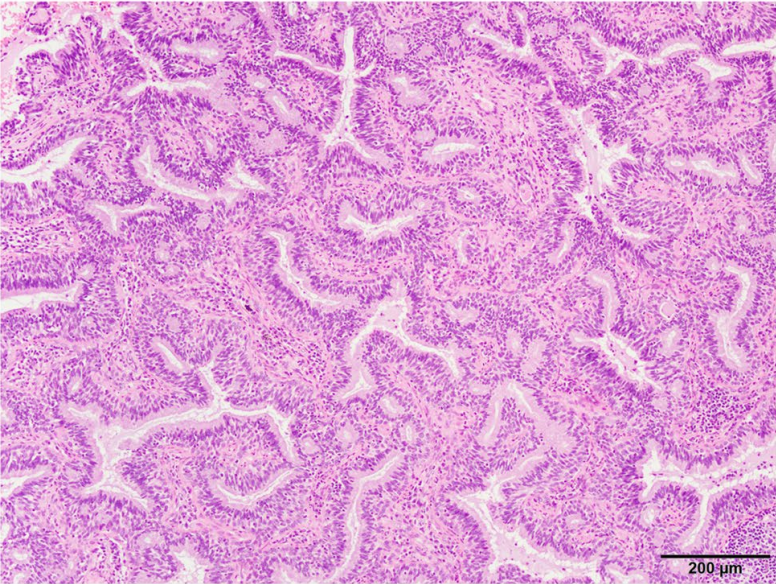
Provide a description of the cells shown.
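A tumor built of tall columnar cells lining closely packed, branching tubular and papillary glandular spaces with narrow, slit-like lumens. The nuclei are elongated and dark purple, crowded and palisaded along the long axis of the cells, and the cytoplasm is pale pink. Thin cores of pink stroma lie between the glands, and a small cluster of dark lymphocytes sits at the lower right edge.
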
